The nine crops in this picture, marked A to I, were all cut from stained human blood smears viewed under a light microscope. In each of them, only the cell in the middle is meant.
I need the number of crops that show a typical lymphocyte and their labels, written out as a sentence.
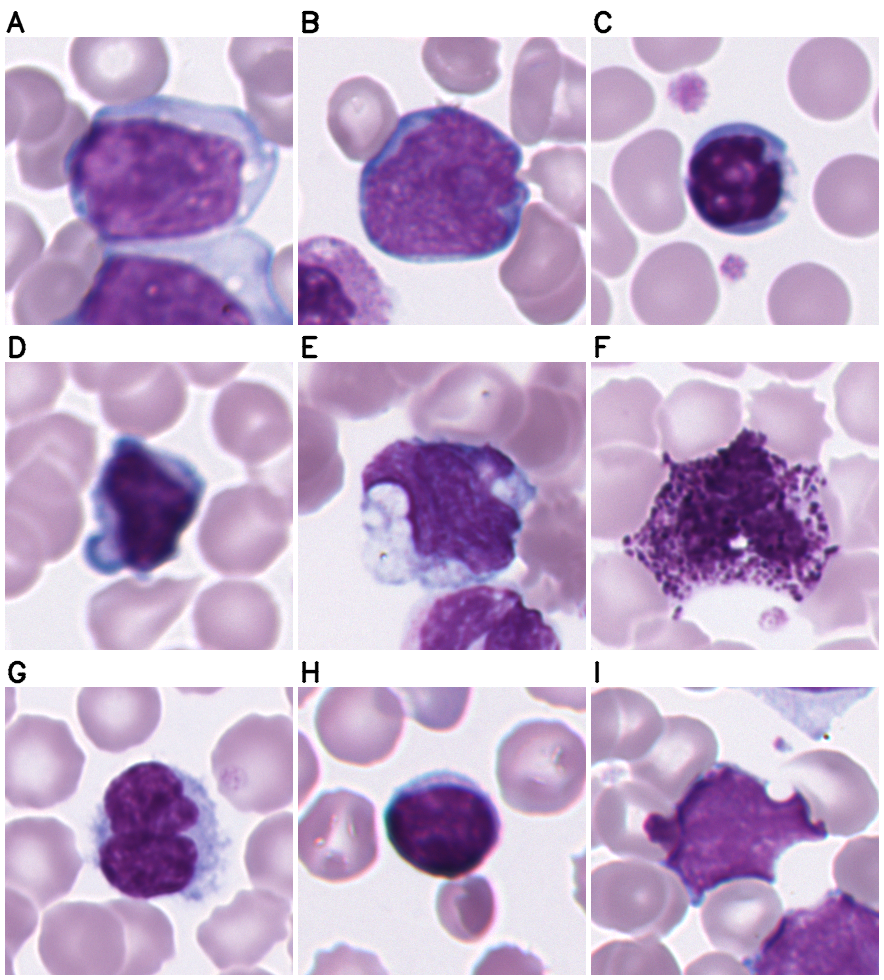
Within the set, crops C, D, H and I are the four showing typical lymphocytes.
